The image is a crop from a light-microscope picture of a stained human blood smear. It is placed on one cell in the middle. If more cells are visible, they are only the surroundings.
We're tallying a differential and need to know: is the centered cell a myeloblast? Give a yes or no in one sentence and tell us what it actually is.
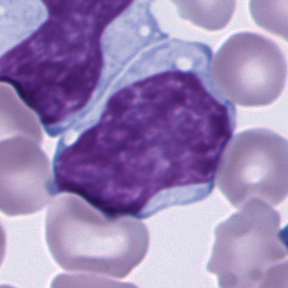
Yes, the cell at the crop's center is a myeloblast.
